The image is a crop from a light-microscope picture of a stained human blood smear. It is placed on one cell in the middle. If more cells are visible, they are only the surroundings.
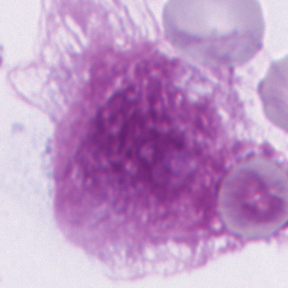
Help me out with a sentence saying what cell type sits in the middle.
The crop shows a smudge cell in its centre.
